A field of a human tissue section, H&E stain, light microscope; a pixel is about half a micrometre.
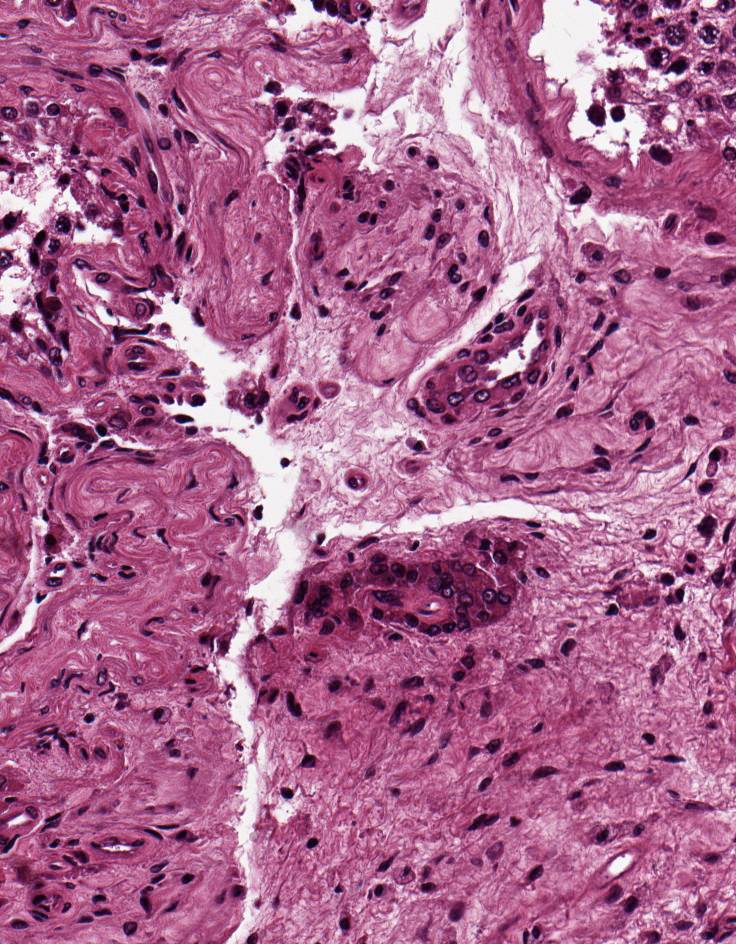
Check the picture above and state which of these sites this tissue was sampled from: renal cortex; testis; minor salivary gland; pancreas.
testis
